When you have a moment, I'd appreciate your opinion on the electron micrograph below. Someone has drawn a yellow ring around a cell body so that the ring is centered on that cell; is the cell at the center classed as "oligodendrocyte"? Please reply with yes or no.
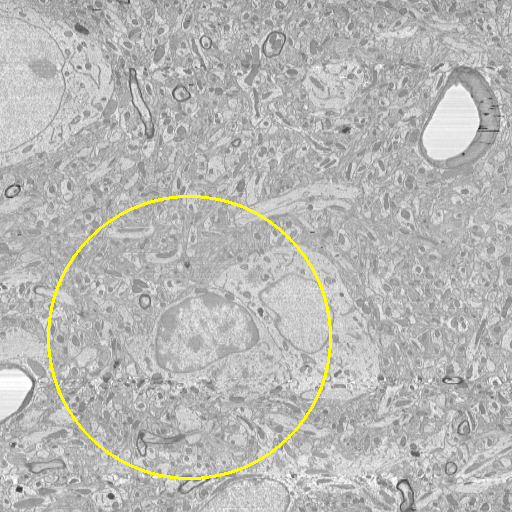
Yes, that cell is of the named kind.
